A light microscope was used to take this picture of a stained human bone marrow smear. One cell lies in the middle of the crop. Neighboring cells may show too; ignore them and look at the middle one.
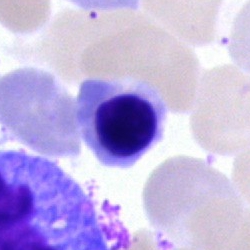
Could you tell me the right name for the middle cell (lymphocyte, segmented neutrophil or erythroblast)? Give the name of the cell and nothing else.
erythroblast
